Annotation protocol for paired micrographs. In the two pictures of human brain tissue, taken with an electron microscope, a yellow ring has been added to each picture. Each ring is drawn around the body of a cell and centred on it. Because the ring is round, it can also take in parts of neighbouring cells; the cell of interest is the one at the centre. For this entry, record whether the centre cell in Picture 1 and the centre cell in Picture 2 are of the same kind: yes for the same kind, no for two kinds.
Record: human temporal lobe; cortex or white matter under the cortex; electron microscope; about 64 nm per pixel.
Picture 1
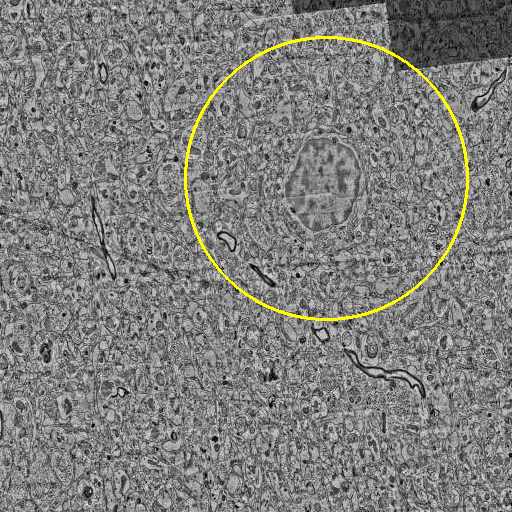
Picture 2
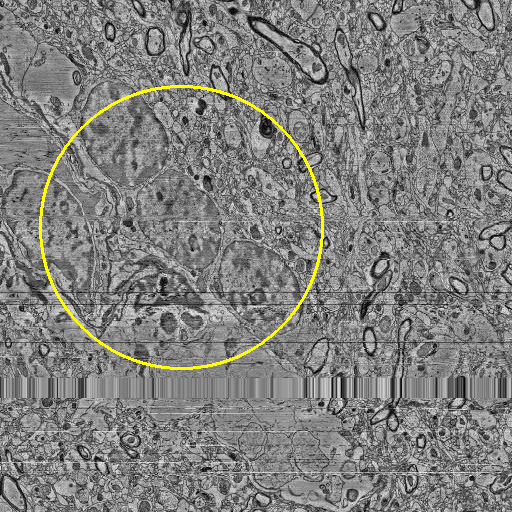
no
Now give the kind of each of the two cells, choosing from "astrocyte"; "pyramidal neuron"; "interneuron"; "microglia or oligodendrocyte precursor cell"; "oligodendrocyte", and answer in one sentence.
The cell in the first picture is a microglial cell or oligodendrocyte precursor cell, and the cell in the second is an oligodendrocyte.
